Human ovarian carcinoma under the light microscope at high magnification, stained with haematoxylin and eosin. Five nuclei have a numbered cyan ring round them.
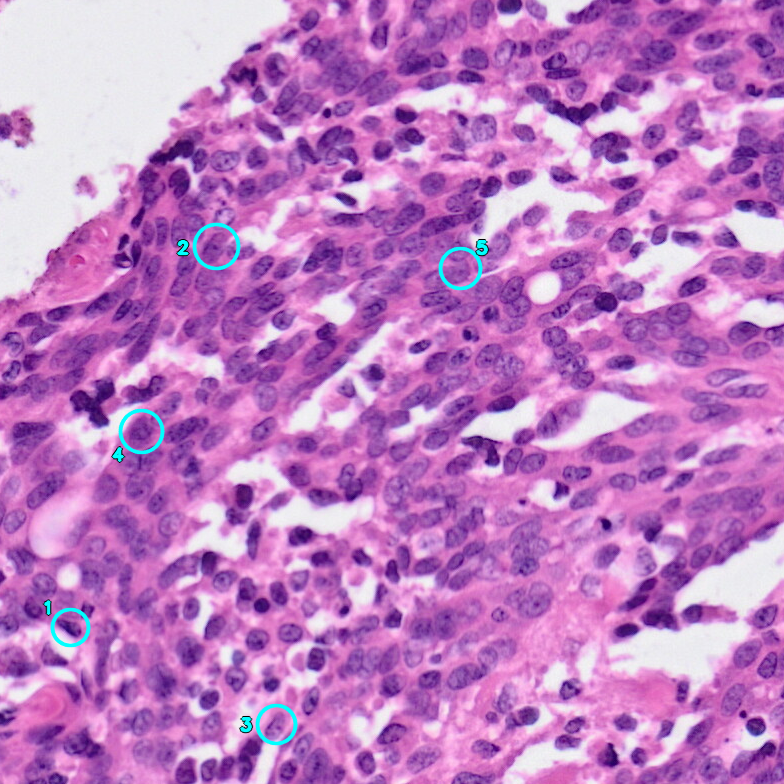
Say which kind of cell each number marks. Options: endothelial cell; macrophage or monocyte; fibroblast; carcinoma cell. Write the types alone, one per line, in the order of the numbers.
macrophage or monocyte
carcinoma cell
macrophage or monocyte
carcinoma cell
carcinoma cell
